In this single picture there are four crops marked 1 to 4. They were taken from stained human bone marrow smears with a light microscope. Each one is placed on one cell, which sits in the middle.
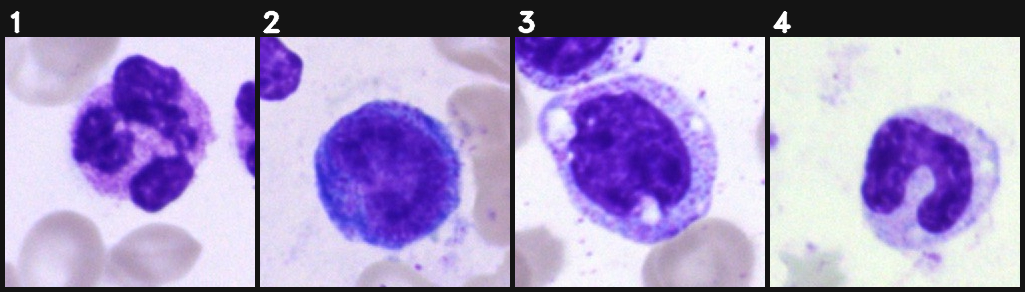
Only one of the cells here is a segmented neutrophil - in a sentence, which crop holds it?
Among all the crops given here, the one with a segmented neutrophil is crop 1.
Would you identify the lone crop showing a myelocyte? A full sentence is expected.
Crop 3 is the one depicting a myelocyte.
